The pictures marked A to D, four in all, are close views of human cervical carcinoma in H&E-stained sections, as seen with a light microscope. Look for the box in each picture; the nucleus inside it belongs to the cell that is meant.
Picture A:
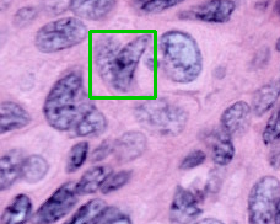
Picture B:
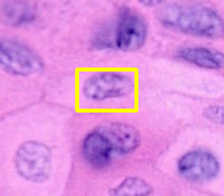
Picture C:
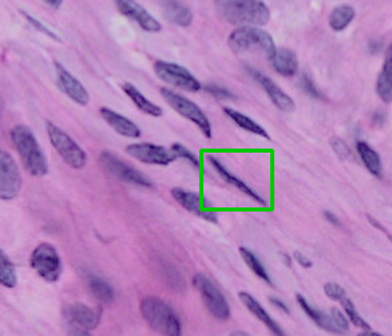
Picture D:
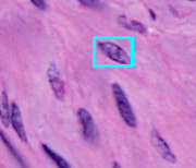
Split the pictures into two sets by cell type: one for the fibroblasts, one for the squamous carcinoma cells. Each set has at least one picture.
A: squamous carcinoma cell
B: squamous carcinoma cell
C: fibroblast
D: fibroblast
